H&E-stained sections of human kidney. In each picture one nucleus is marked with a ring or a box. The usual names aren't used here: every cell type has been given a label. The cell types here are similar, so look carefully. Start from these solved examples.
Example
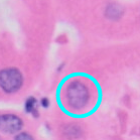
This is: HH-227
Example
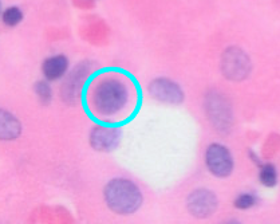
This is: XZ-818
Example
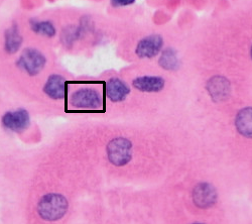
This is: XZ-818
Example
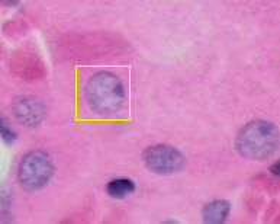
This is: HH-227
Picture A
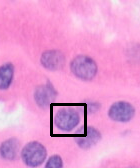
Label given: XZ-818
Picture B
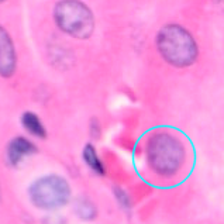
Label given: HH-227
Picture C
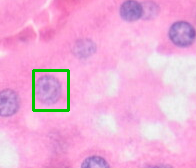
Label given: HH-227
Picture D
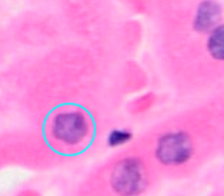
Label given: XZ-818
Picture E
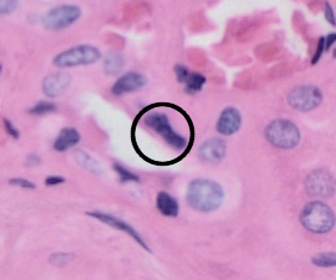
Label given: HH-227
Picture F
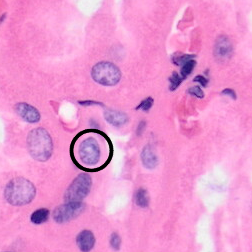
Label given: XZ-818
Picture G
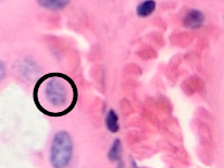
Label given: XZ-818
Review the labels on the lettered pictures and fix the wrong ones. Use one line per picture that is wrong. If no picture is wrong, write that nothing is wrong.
D: change XZ-818 to HH-227
E: change HH-227 to XZ-818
